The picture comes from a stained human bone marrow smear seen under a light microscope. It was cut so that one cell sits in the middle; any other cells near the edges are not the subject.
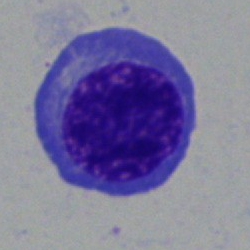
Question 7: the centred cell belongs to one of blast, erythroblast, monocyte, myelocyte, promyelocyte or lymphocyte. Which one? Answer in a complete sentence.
By classification, the middle cell of this crop is an erythroblast.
